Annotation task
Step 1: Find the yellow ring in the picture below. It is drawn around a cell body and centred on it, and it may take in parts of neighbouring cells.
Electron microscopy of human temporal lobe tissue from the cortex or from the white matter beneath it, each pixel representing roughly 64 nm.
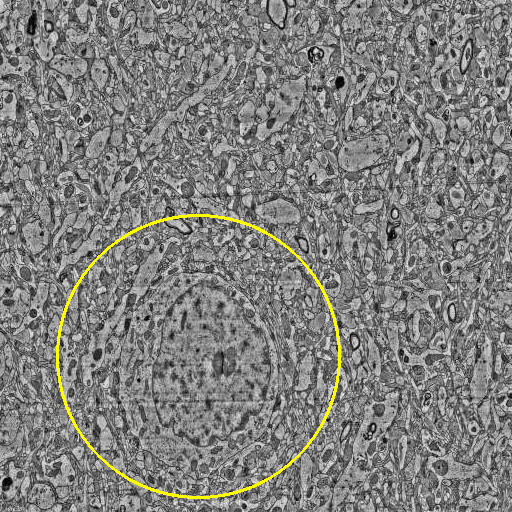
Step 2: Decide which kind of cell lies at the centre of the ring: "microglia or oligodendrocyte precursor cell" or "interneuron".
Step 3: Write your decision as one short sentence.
The kind of cell at the ring's centre is an interneuron.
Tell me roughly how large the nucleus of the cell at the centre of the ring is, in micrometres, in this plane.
About 10 by 7 micrometers for the nucleus, in this plane.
